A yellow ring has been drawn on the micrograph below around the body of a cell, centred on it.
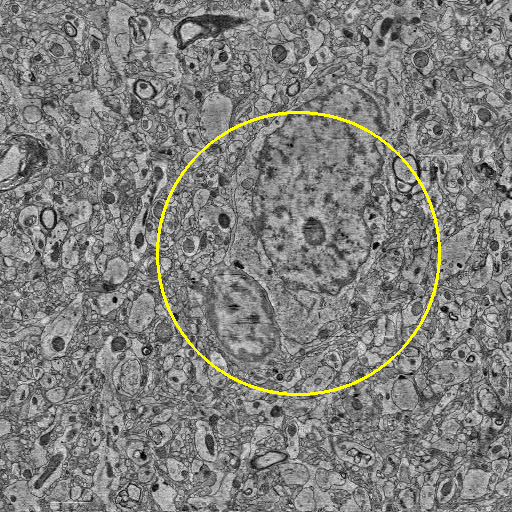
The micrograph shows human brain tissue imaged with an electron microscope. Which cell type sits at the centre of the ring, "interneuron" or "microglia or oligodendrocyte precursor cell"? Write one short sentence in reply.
The cell sitting at the centre of the ring is an interneuron.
